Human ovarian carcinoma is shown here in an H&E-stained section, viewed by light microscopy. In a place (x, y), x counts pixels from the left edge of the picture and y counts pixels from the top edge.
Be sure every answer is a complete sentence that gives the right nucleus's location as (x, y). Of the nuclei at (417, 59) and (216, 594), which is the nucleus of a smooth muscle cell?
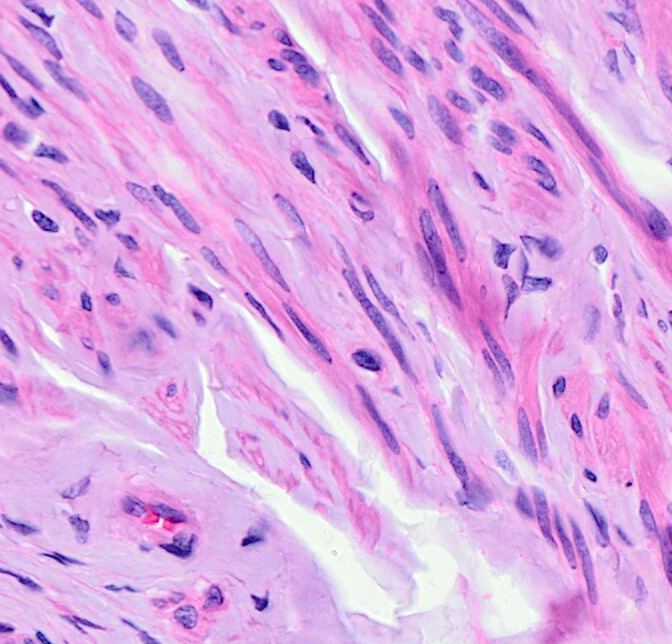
As for which of the two, the nucleus at (417, 59) belongs to a smooth muscle cell.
